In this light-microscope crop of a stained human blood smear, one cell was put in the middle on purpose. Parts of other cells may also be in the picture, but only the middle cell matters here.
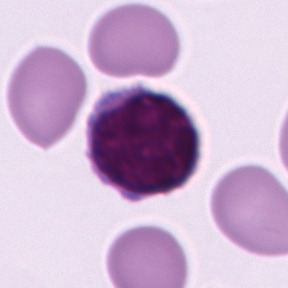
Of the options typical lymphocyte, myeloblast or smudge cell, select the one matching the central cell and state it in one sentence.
What sits at the centre of this crop is a typical lymphocyte.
